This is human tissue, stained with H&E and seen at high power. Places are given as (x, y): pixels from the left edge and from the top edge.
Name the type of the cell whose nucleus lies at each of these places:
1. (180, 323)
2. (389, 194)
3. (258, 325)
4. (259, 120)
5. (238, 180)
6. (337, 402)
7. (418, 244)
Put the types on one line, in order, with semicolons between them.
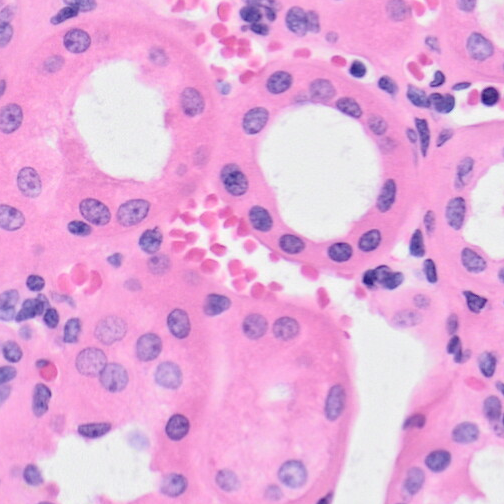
proximal tubule cell; loop of Henle or distal tubule cell; proximal tubule cell; loop of Henle or distal tubule cell; collecting duct cell; proximal tubule cell; endothelial cell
